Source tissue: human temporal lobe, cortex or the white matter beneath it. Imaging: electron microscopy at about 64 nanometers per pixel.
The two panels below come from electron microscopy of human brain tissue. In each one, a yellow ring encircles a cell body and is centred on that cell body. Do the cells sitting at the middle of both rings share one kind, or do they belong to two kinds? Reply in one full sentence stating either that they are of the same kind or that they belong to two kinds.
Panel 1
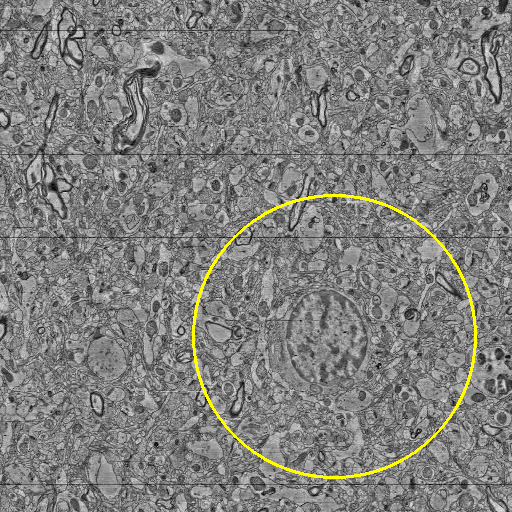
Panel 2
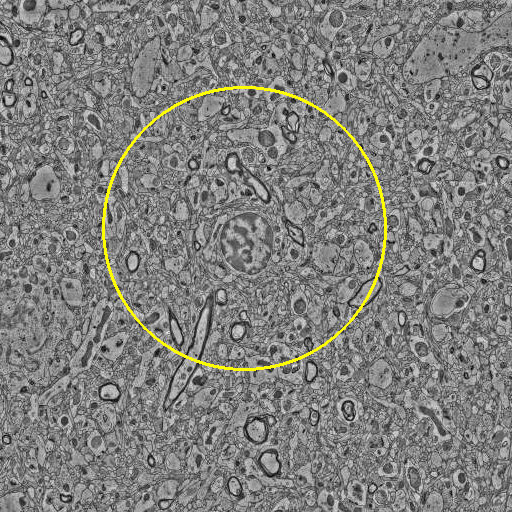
The cells at the centres of the two rings belong to two kinds.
